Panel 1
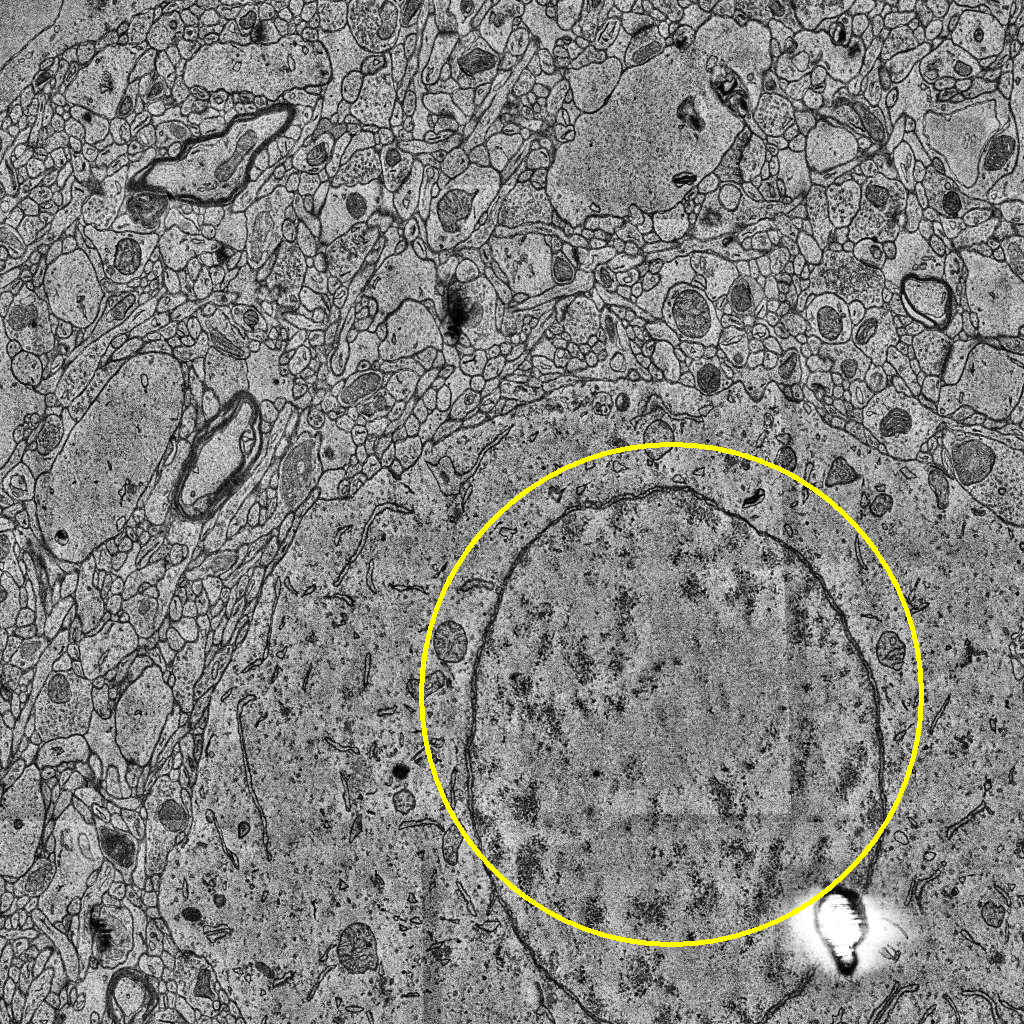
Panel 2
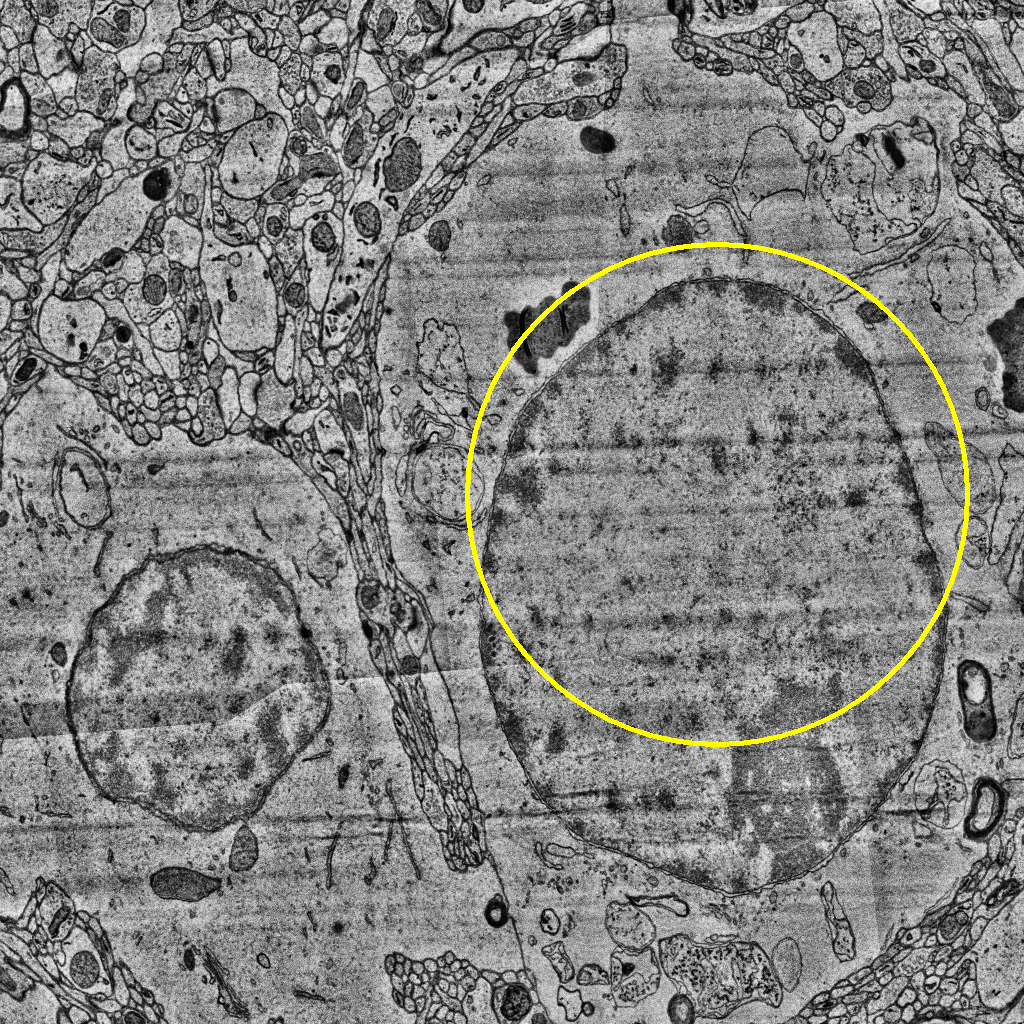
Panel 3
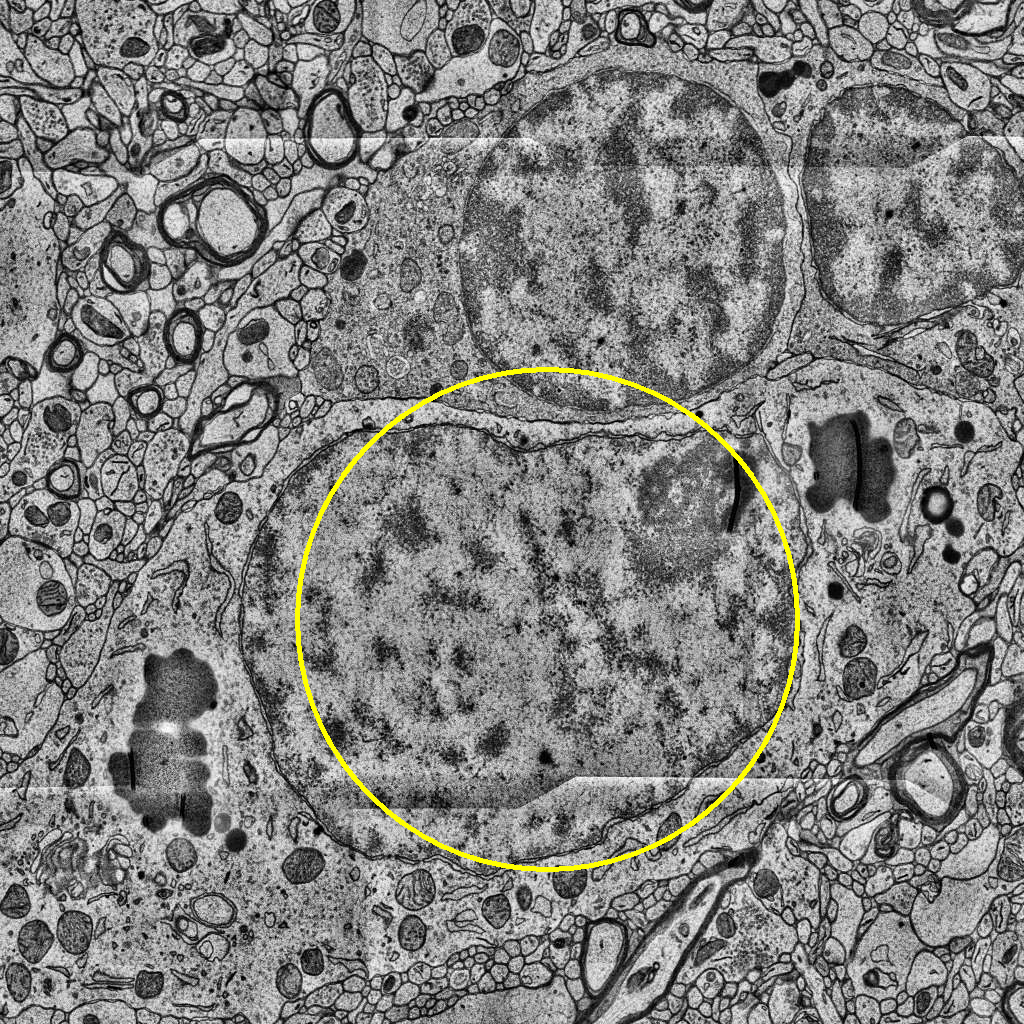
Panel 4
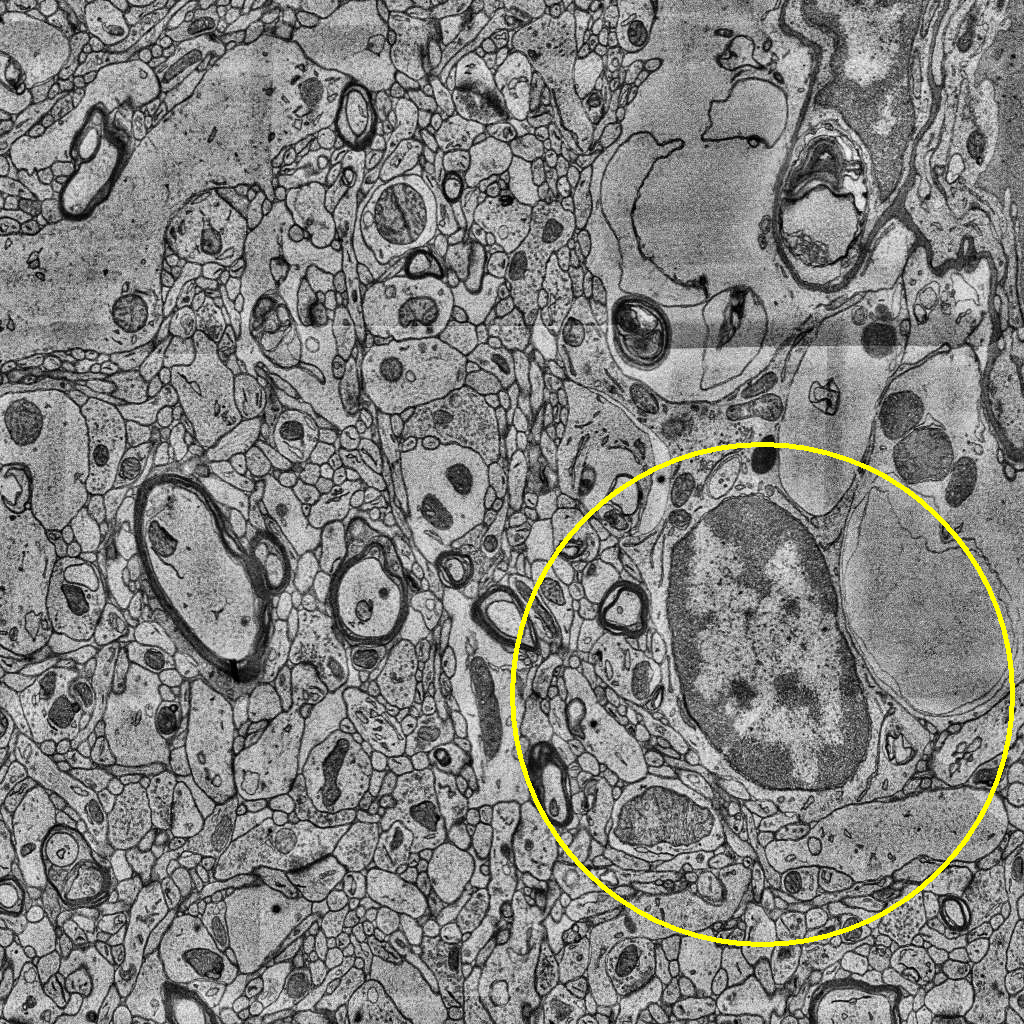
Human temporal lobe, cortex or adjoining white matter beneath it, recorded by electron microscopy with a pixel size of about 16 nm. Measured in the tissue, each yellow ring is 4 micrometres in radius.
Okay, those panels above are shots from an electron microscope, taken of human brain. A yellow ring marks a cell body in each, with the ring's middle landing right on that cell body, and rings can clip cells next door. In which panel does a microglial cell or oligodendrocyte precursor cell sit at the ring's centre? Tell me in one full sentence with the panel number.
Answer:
The cell you asked for has the ring's centre inside it in panel 4.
